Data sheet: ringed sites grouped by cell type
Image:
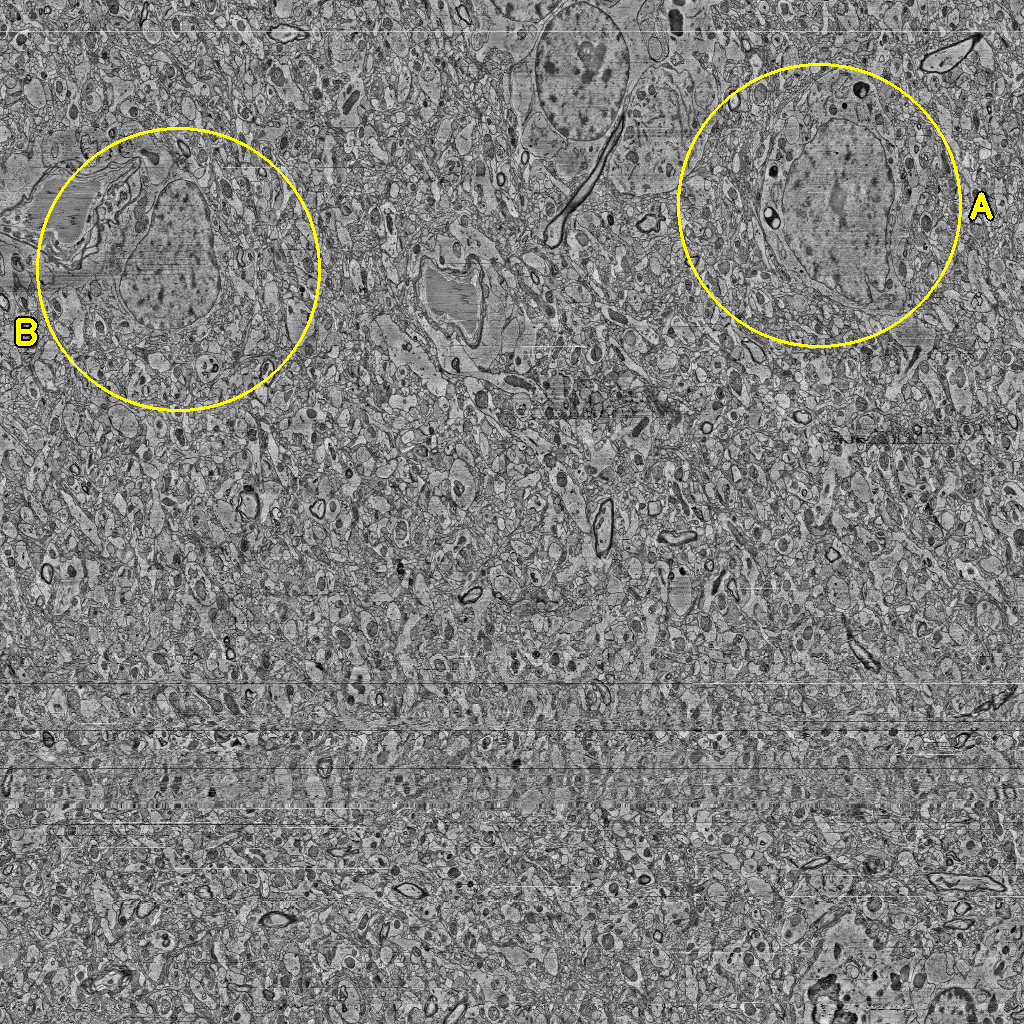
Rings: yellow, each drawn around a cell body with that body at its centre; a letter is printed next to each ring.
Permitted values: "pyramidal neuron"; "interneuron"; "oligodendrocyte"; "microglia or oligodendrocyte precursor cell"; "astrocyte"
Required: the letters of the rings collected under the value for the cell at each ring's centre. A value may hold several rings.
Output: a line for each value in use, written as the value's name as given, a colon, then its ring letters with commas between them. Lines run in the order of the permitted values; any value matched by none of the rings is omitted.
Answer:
interneuron: A
microglia or oligodendrocyte precursor cell: B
